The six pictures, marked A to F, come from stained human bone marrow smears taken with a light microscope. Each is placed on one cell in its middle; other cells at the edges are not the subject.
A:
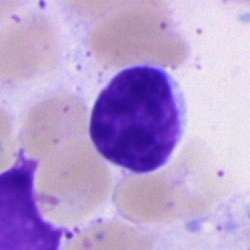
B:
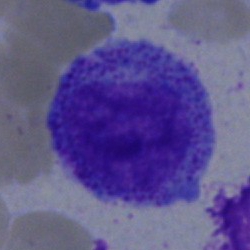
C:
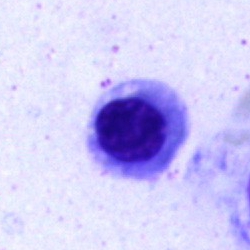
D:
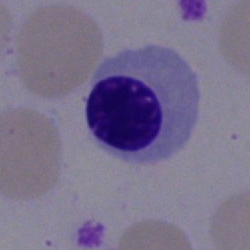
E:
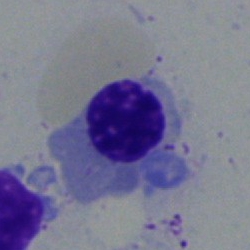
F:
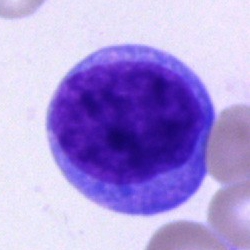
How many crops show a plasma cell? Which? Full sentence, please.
No plasma cells occur among the crops, so the count is zero.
